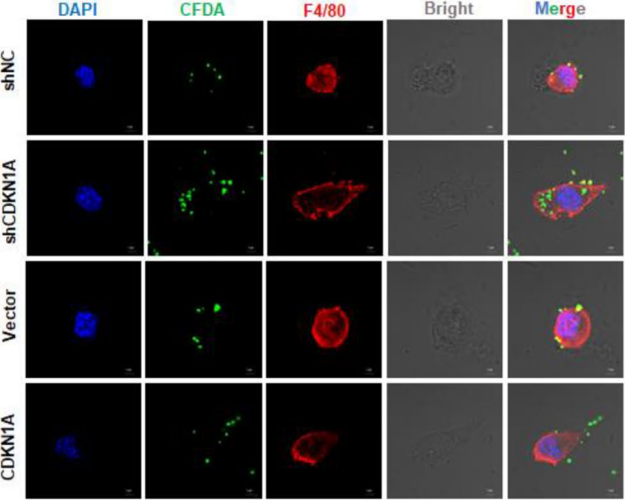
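Small round green dots, much smaller than the nucleus, lie on or next to the red-outlined cells, in some rows more numerous than in others. The brightfield images show the faint outline of the cell.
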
